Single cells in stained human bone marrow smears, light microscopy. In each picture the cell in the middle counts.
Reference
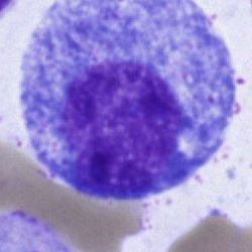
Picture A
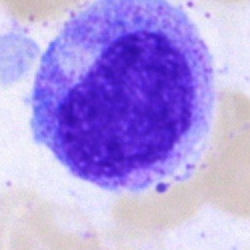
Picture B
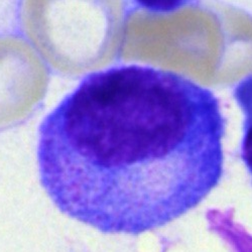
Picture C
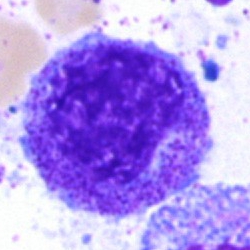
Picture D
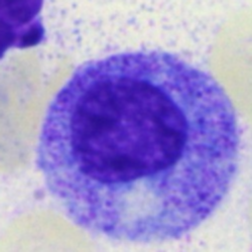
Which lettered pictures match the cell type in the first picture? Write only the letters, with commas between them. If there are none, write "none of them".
B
